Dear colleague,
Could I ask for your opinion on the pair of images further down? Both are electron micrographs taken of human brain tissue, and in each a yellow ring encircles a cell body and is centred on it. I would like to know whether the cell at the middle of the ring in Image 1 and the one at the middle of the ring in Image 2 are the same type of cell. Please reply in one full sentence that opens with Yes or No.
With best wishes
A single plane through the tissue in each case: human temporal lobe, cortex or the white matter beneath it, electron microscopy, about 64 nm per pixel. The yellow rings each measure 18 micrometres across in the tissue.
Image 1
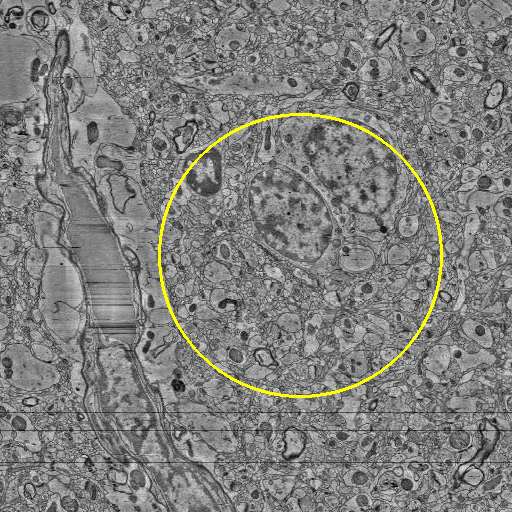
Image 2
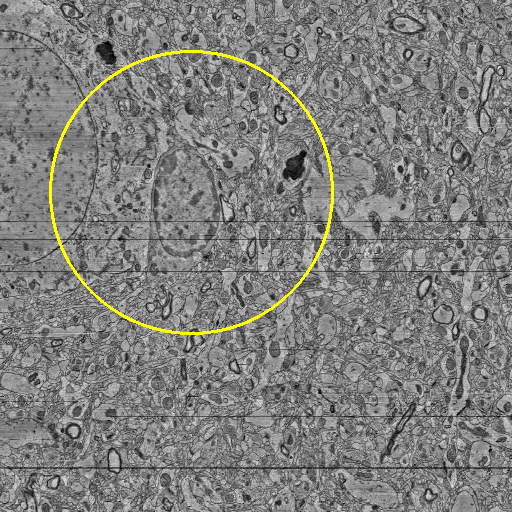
Yes, the cells at the ring centres in Image 1 and Image 2 are of one type.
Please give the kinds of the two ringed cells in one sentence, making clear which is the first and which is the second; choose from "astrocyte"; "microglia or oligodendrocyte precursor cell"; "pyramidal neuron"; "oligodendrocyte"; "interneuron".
Both cells are the same kind, each one being an oligodendrocyte.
